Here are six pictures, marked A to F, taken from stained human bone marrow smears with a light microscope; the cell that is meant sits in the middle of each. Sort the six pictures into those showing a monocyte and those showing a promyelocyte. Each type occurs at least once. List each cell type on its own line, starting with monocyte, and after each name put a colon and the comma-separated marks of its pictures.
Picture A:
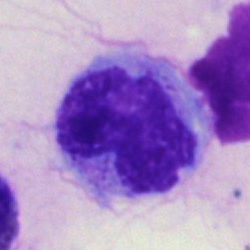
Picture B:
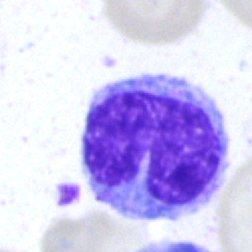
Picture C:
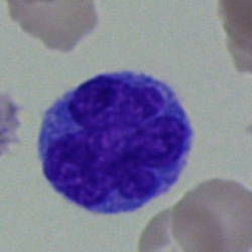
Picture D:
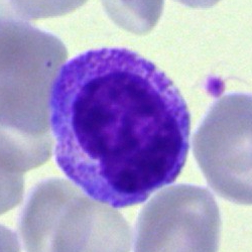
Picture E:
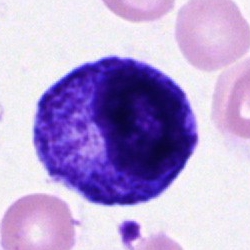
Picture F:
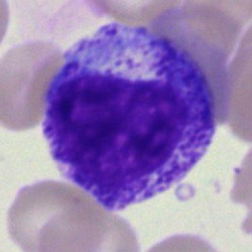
monocyte: A, B, C
promyelocyte: D, E, F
